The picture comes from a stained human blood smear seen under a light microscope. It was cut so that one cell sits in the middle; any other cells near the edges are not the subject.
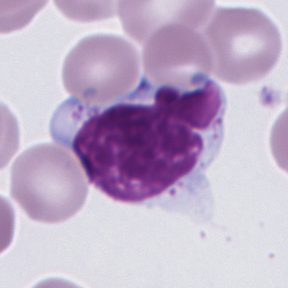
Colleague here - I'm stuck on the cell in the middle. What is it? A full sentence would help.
The cell in the middle of this crop is a large granular lymphocyte.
